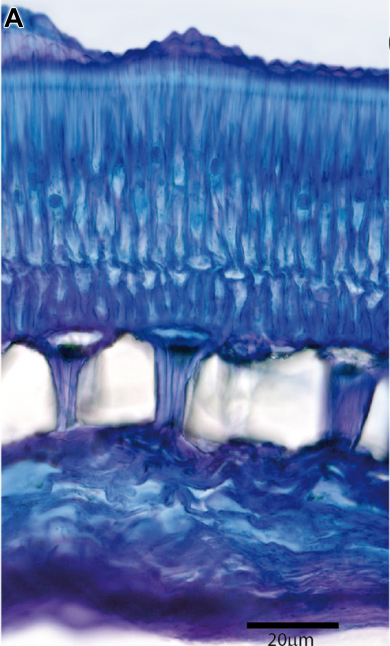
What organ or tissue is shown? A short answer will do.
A: Seed coat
